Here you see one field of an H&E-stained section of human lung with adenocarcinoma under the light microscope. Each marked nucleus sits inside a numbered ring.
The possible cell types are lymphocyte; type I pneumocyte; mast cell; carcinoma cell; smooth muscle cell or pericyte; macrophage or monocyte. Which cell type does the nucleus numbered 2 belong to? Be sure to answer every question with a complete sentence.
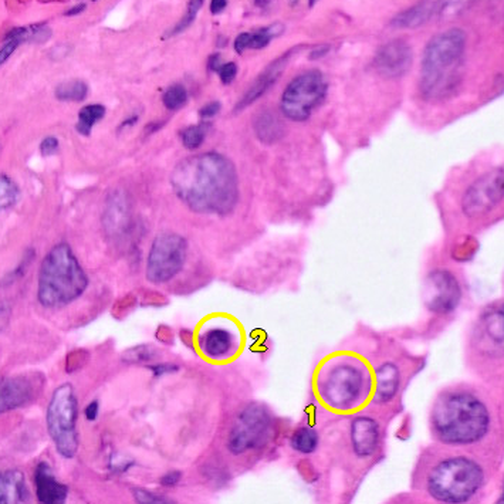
Number 2 among the marked cells is a lymphocyte.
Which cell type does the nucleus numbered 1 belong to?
The cell marked with number 1 is a macrophage or monocyte.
